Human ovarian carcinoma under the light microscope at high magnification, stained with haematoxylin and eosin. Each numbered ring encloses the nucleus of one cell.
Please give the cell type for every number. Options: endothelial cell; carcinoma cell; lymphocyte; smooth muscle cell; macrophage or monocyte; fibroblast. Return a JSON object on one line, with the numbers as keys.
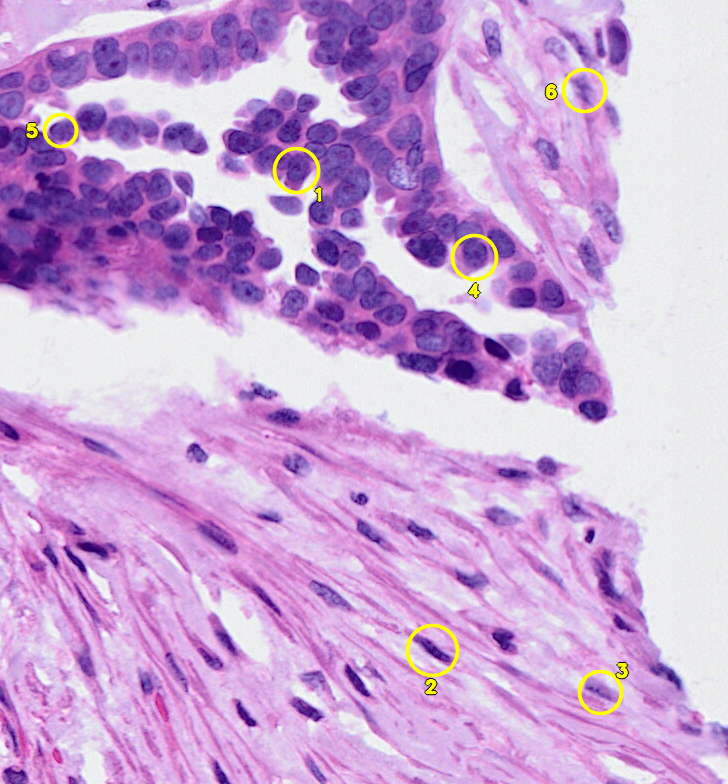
{"1": "carcinoma cell", "2": "fibroblast", "3": "fibroblast", "4": "carcinoma cell", "5": "carcinoma cell", "6": "fibroblast"}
